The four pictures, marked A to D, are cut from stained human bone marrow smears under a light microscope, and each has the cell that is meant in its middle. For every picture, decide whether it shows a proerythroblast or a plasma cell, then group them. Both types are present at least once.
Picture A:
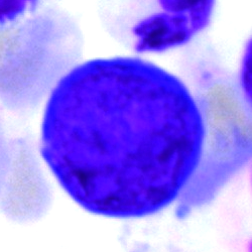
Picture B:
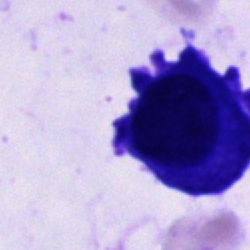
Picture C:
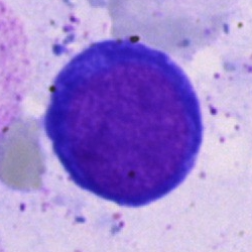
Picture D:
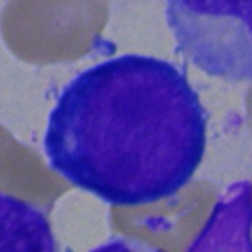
A: proerythroblast
B: plasma cell
C: proerythroblast
D: proerythroblast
